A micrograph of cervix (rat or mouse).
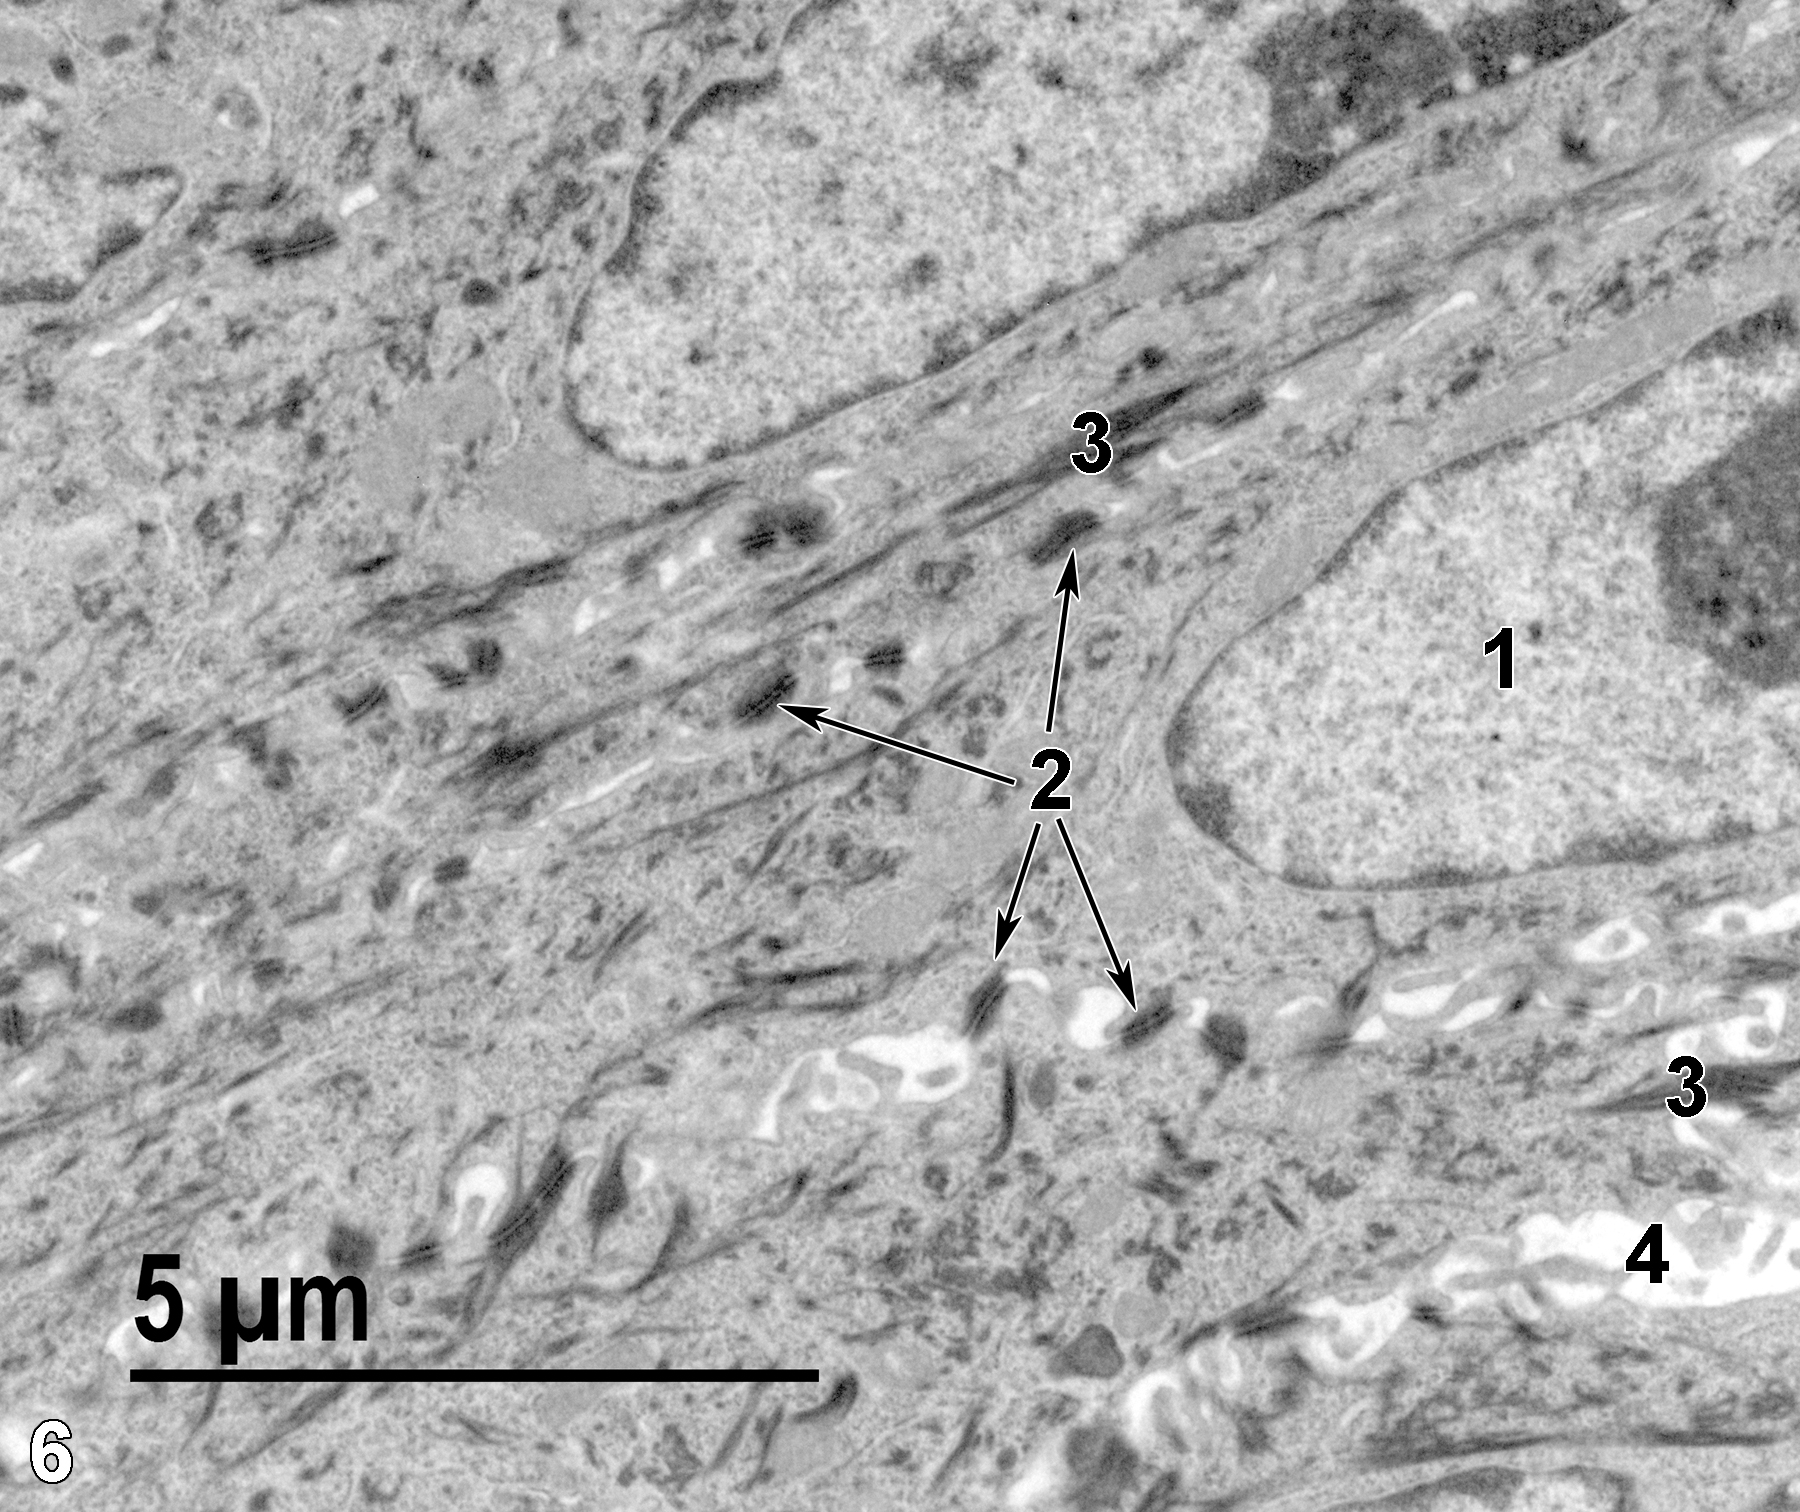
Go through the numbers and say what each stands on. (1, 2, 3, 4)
1 nucleus
2 desmosomes
3 bundles of tonofilaments
4 intercellular space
